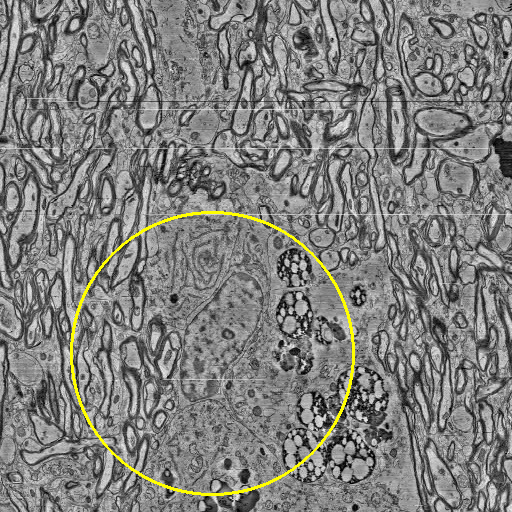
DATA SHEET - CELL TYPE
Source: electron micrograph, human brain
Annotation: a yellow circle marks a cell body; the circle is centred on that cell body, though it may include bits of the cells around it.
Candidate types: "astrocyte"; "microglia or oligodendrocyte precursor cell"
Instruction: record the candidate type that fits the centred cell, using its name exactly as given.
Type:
microglia or oligodendrocyte precursor cell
